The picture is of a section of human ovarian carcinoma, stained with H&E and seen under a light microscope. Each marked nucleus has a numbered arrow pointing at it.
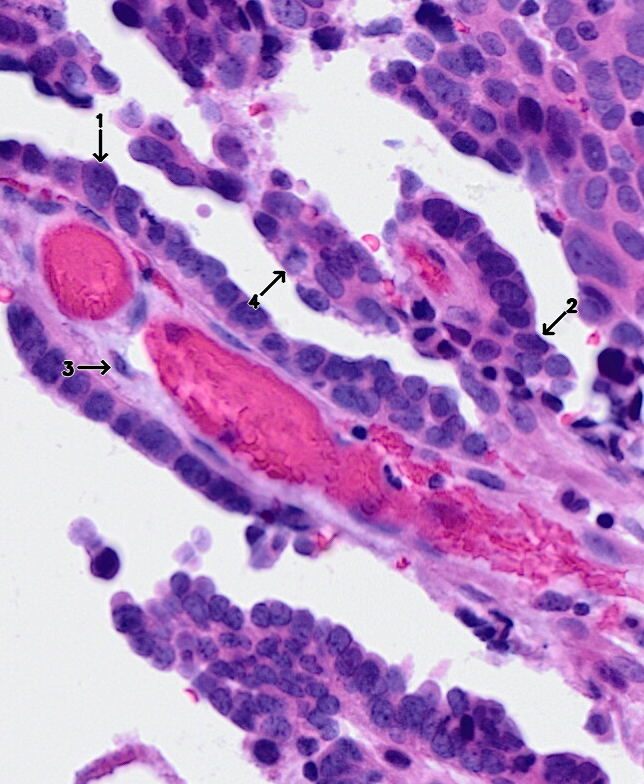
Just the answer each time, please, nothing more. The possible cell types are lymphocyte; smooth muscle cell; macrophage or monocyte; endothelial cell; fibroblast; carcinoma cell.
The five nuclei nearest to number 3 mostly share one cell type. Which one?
carcinoma cell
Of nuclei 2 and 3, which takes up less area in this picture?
3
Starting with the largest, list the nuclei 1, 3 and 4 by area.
1, 4, 3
